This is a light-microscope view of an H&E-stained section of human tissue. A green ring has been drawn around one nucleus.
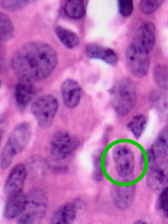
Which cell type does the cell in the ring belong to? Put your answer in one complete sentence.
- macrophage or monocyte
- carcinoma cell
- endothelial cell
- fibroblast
In this section, the cell in the ring is a macrophage or monocyte.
